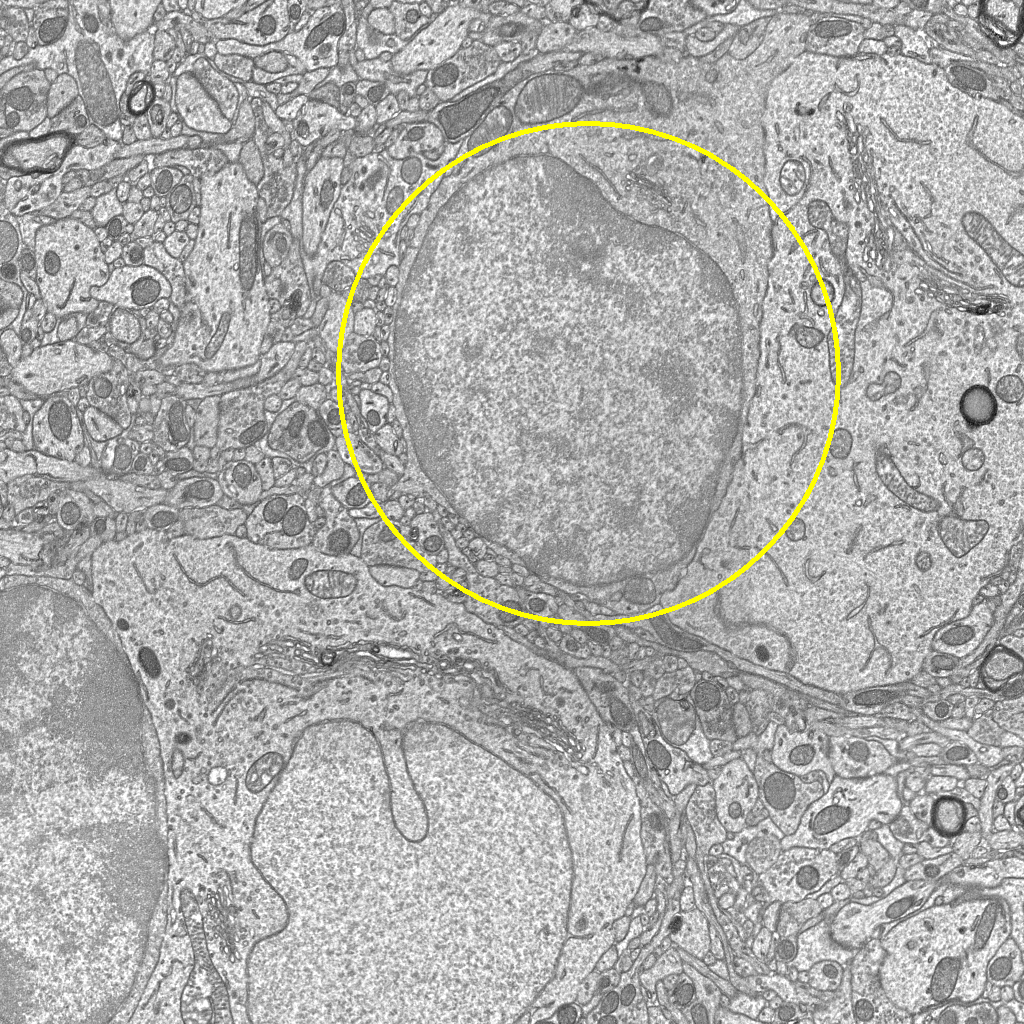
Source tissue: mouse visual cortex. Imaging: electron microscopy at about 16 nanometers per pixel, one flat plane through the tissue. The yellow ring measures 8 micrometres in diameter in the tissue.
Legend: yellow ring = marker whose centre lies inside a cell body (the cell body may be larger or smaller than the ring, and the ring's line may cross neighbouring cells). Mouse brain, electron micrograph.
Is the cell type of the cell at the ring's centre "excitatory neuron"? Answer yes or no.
no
